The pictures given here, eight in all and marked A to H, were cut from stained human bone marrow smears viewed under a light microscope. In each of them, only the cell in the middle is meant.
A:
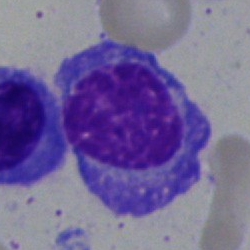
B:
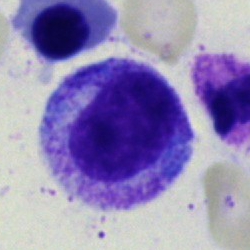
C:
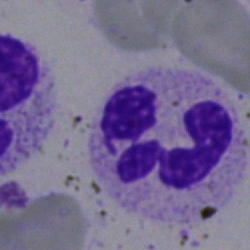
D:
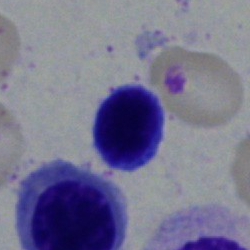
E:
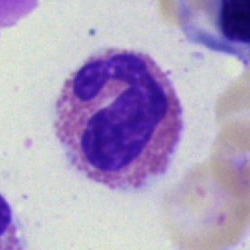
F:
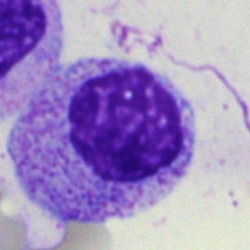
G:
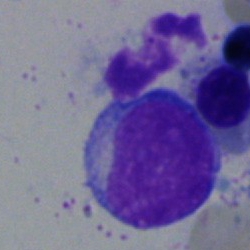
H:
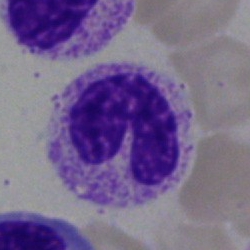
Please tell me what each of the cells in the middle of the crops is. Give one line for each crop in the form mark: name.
A: plasma cell
B: promyelocyte
C: segmented neutrophil
D: lymphocyte
E: eosinophil
F: myelocyte
G: blast
H: band neutrophil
